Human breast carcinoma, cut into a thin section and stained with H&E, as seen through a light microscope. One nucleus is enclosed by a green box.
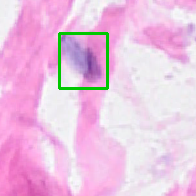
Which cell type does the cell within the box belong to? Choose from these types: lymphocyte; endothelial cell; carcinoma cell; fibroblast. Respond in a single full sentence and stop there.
The cell type represented by the cell within the box is that of a fibroblast.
